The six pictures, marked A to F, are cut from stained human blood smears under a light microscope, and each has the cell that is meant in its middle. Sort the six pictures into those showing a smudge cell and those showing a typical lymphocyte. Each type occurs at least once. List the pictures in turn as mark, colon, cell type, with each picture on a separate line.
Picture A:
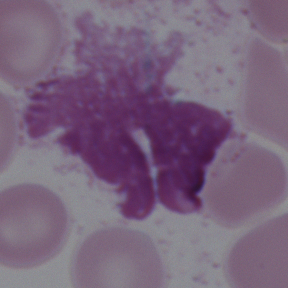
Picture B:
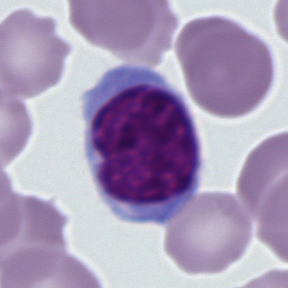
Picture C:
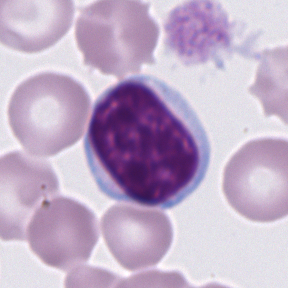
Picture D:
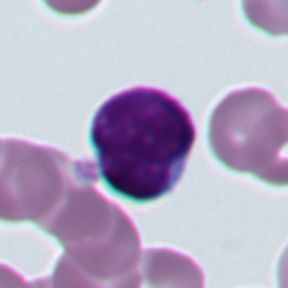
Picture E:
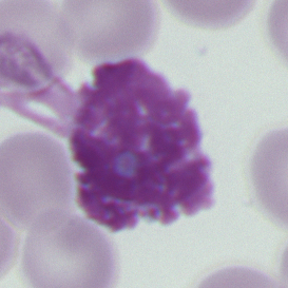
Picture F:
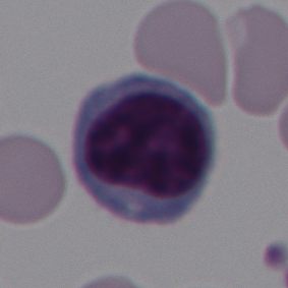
A: smudge cell
B: typical lymphocyte
C: typical lymphocyte
D: typical lymphocyte
E: smudge cell
F: typical lymphocyte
